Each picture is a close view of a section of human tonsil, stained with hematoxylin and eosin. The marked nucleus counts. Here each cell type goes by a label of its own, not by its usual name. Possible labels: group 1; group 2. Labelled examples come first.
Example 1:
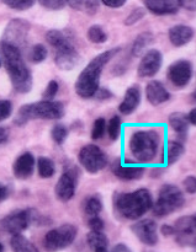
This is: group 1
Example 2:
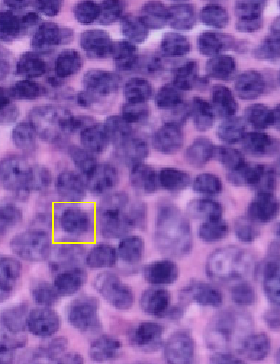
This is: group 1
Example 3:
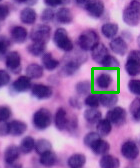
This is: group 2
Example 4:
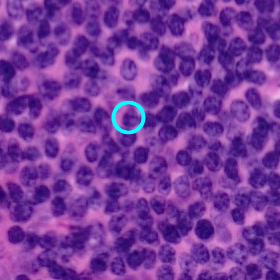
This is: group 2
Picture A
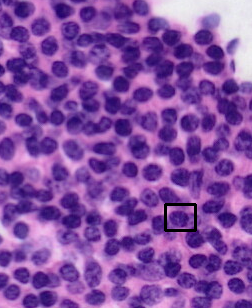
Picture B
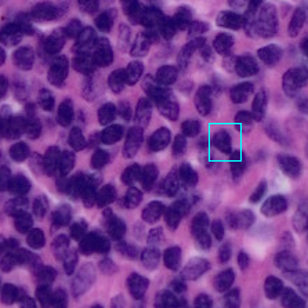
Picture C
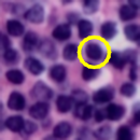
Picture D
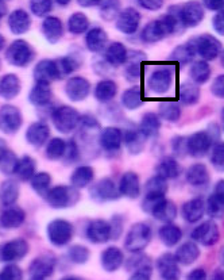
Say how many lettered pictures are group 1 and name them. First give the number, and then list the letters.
0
